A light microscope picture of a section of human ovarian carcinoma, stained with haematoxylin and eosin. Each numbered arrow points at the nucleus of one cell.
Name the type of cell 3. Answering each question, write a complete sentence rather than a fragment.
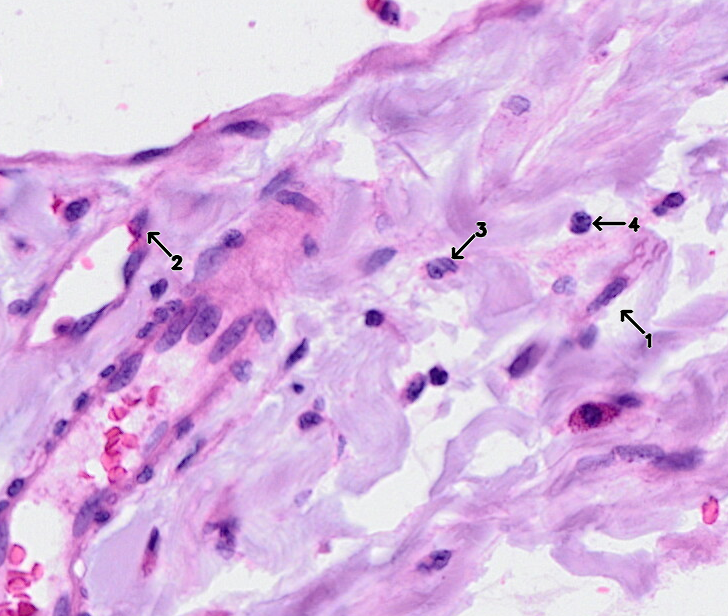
Regarding cell 3, this one is a macrophage or monocyte.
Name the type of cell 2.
Cell 2 should be recorded as an endothelial cell.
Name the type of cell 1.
The cell bearing label 1 corresponds to an endothelial cell.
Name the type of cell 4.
Looking at the numbered marks, cell 4 is a lymphocyte.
